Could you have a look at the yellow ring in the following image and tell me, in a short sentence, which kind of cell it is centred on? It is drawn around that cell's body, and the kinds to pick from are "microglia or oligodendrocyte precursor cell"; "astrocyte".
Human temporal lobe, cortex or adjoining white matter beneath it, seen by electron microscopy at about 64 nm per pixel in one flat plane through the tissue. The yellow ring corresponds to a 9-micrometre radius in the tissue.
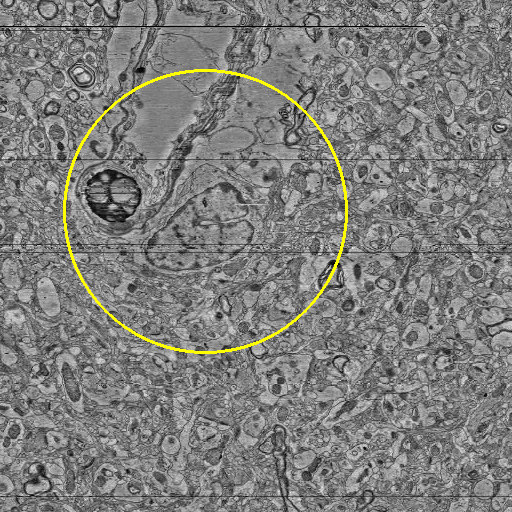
The ring is centred on the body of a microglial cell or oligodendrocyte precursor cell.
